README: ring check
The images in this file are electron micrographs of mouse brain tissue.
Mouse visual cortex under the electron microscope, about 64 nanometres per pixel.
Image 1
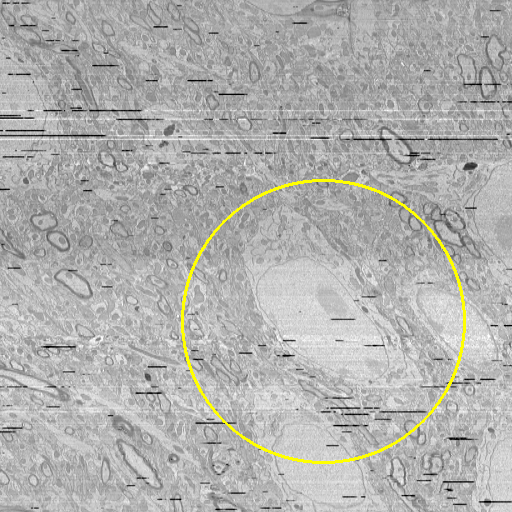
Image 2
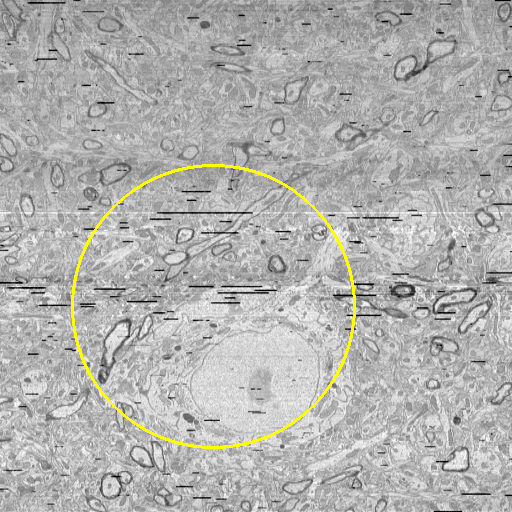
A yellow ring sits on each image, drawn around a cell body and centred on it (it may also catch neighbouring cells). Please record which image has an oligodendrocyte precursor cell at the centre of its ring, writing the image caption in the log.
Image 2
